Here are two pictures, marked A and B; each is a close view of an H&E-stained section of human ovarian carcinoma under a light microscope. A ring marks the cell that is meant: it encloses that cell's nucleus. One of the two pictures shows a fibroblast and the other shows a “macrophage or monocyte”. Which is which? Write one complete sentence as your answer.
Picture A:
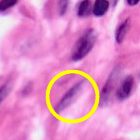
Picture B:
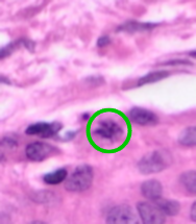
Picture A shows a fibroblast and picture B shows a “macrophage or monocyte”.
